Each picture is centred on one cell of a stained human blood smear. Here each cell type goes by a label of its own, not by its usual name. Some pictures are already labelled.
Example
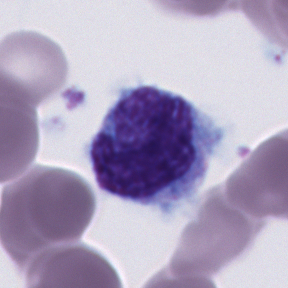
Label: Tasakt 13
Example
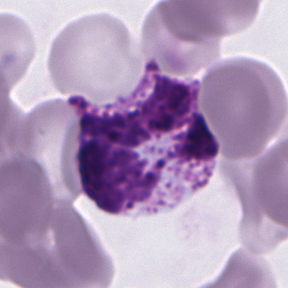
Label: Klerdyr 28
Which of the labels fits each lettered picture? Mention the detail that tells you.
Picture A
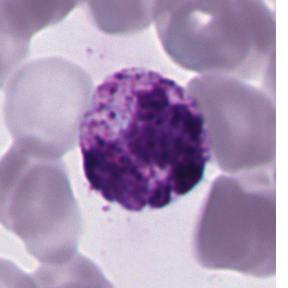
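Klerdyr 28: Coarse dark purple granules crowd over most of the cell.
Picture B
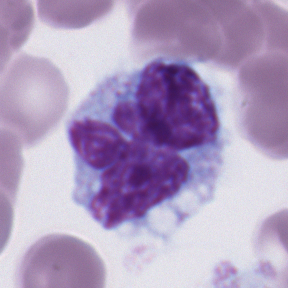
Tasakt 13: The cytoplasm holds fine, scattered pinkish-lilac granules.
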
